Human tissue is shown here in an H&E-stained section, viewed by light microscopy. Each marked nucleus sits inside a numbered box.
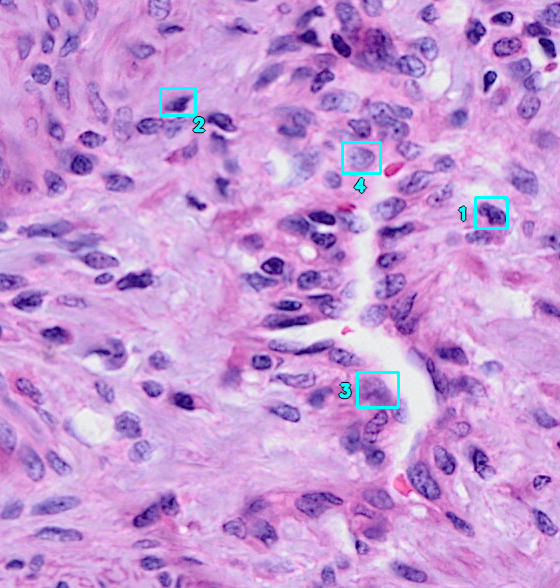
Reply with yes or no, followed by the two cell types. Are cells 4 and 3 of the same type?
Yes, cell 4 is among the endothelial cells, and cell 3 is as well.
